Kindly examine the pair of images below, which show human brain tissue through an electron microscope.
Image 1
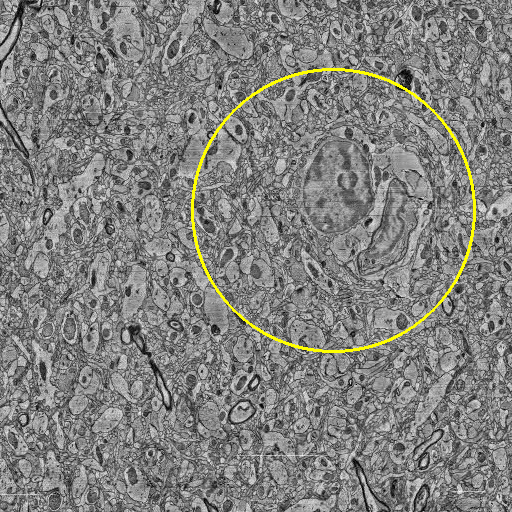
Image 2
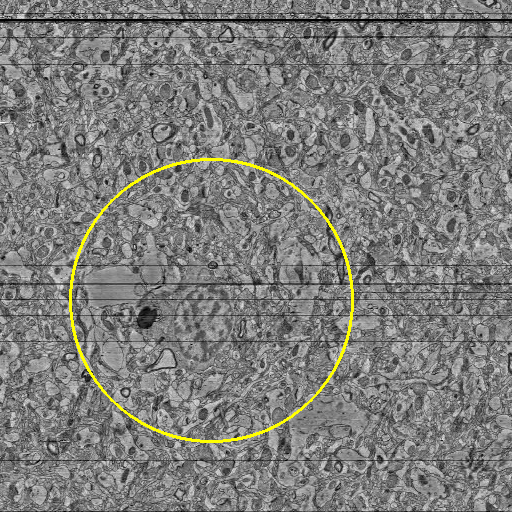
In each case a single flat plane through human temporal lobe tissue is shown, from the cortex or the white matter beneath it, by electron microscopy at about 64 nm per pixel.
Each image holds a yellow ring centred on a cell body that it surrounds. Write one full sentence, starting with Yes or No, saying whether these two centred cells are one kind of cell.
Yes, both cells at the centres of the yellow rings belong to one kind of cell.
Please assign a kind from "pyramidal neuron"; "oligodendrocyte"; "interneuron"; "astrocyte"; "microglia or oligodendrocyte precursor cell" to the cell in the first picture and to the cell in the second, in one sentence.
The second cell is an oligodendrocyte, just as the first is.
